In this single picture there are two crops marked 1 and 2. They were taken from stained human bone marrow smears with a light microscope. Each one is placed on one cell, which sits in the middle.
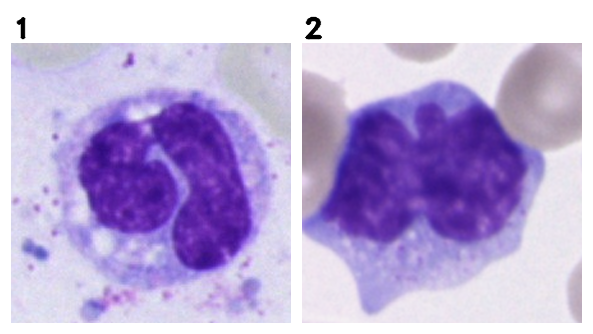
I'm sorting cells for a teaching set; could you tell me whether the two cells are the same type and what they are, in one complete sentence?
Yes, what both crops show at their centres are monocytes.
